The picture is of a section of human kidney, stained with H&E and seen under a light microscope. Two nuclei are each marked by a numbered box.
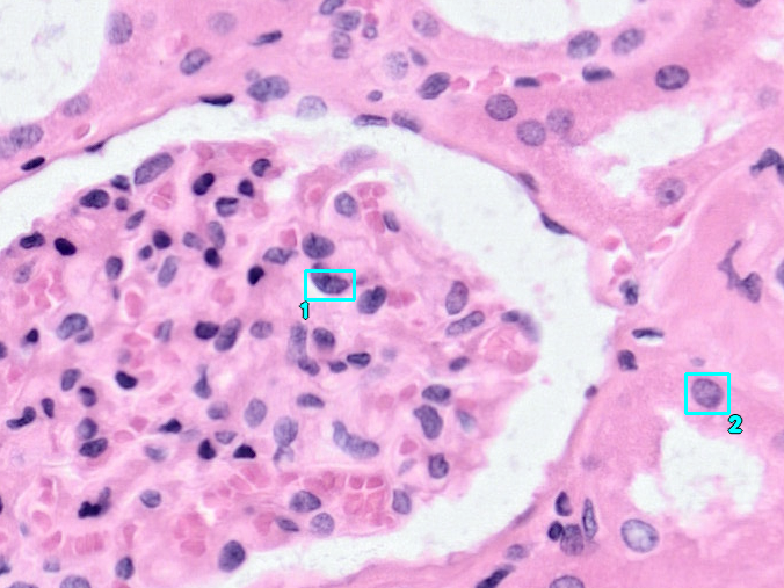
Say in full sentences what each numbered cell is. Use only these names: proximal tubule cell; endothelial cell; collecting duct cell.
Cell 1 is an endothelial cell and cell 2 is a proximal tubule cell.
